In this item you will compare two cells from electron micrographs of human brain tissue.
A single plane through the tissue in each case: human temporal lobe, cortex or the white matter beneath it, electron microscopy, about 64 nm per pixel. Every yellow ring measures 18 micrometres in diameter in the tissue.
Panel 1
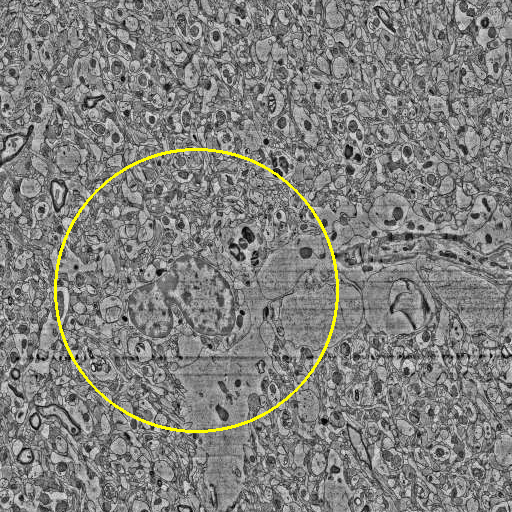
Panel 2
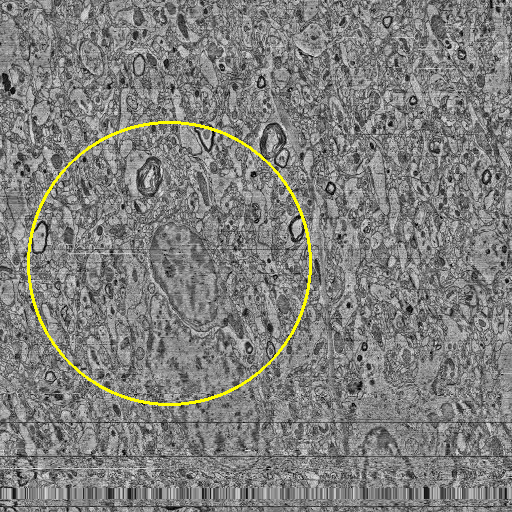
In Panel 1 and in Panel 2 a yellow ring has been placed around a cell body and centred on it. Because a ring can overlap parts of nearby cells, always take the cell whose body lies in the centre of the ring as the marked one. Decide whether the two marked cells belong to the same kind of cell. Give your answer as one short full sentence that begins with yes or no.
No, the two marked cells belong to two kinds of cell.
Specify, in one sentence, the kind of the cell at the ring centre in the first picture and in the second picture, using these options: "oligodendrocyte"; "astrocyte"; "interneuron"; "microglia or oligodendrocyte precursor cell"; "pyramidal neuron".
So the first is a microglial cell or oligodendrocyte precursor cell, the second an oligodendrocyte.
